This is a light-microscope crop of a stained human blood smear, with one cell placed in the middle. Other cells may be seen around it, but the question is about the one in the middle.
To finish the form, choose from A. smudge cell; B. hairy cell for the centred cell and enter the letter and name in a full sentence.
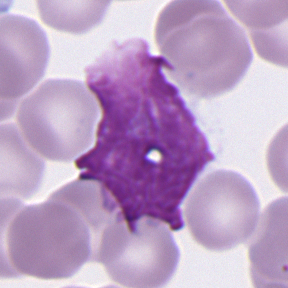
The expected answer is option A, the central cell being a smudge cell.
